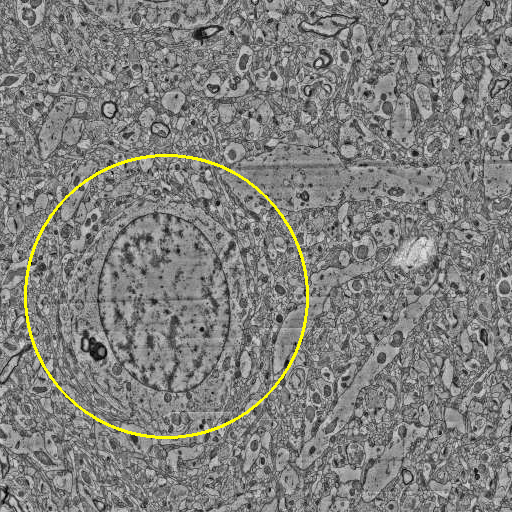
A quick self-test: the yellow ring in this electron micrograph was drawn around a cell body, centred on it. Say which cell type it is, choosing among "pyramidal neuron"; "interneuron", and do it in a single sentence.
The yellow-ringed cell is a pyramidal neuron.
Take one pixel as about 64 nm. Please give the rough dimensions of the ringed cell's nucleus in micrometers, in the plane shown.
In this plane the nucleus measures roughly 12 by 8 micrometers.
